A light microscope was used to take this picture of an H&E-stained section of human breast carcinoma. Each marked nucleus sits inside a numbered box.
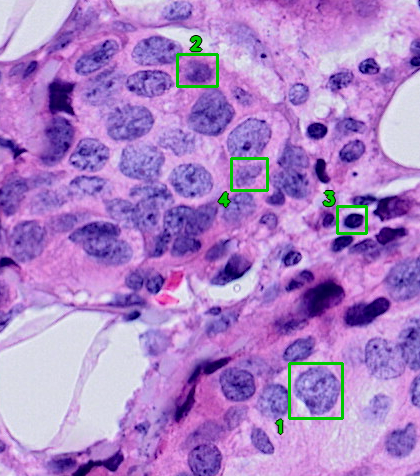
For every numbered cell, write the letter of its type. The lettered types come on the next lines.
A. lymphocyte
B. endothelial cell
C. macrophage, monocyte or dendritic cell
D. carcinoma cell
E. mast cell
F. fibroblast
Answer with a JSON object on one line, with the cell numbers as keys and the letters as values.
{"1": "D", "2": "D", "3": "A", "4": "D"}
